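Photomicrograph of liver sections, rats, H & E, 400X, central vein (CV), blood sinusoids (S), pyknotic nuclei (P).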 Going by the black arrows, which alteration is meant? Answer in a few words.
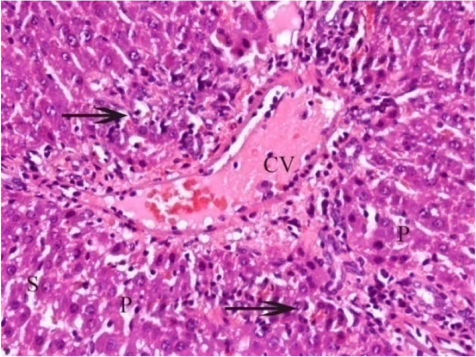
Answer: Mononuclear cells infiltration.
